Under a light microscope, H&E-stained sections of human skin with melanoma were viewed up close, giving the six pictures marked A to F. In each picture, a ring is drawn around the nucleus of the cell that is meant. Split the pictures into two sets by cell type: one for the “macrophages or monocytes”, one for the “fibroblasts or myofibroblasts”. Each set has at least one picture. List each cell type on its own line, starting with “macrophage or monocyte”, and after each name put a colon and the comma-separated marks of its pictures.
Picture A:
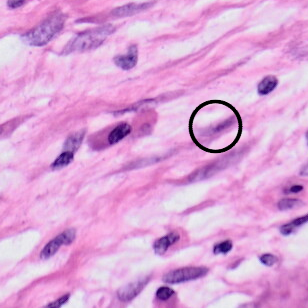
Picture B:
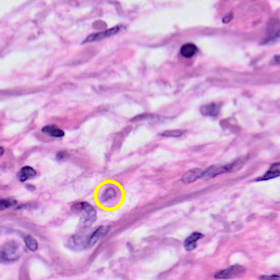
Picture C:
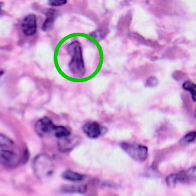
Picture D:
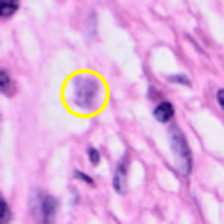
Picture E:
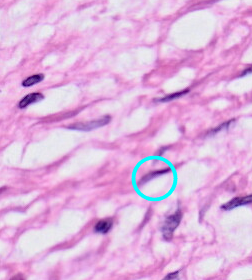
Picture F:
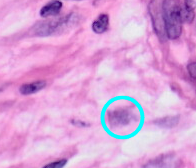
macrophage or monocyte: B, C
fibroblast or myofibroblast: A, D, E, F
